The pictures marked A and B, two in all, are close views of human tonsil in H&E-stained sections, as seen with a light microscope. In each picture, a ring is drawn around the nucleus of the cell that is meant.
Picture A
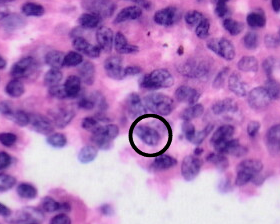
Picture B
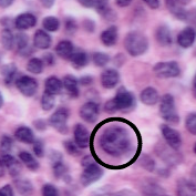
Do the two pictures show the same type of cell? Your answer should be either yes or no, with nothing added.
yes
